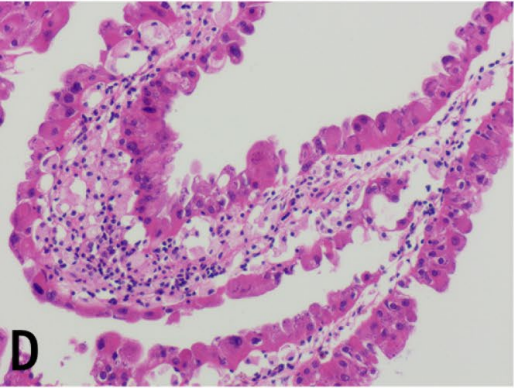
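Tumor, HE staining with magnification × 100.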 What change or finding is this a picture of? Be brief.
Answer: Lymphocytes infiltration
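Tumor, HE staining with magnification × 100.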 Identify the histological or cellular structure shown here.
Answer: Hobnail-like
